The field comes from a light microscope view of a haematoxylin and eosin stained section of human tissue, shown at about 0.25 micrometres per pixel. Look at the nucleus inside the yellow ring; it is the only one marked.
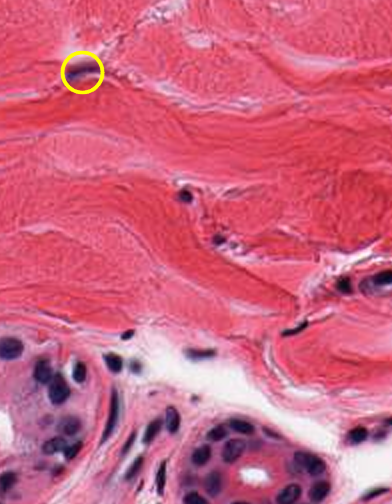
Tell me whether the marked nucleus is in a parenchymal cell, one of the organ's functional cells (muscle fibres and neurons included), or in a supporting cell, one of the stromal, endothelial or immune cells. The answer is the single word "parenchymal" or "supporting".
supporting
